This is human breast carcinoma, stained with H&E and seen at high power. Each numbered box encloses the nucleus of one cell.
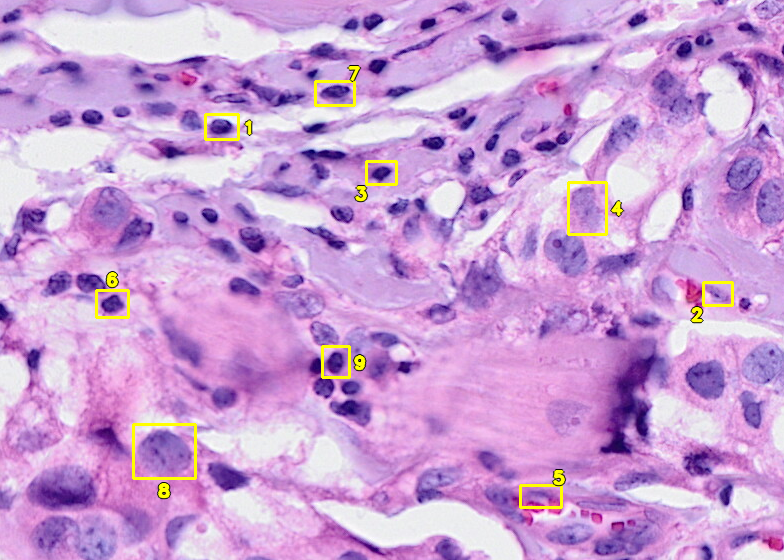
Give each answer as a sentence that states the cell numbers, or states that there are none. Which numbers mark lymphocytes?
The cells carrying the numbers 1, 3, 6, 7 and 9 are lymphocytes.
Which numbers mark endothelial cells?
Regarding the numbered cells 2 and 5, these are endothelial cells.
